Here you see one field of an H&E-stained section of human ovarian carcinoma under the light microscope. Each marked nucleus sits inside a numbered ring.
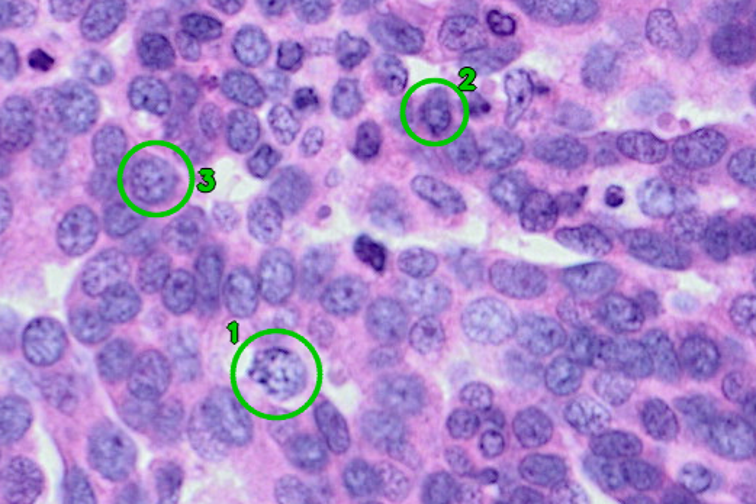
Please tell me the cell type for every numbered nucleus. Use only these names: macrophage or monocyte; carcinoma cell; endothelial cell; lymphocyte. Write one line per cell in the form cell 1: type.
cell 1: macrophage or monocyte
cell 2: carcinoma cell
cell 3: carcinoma cell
